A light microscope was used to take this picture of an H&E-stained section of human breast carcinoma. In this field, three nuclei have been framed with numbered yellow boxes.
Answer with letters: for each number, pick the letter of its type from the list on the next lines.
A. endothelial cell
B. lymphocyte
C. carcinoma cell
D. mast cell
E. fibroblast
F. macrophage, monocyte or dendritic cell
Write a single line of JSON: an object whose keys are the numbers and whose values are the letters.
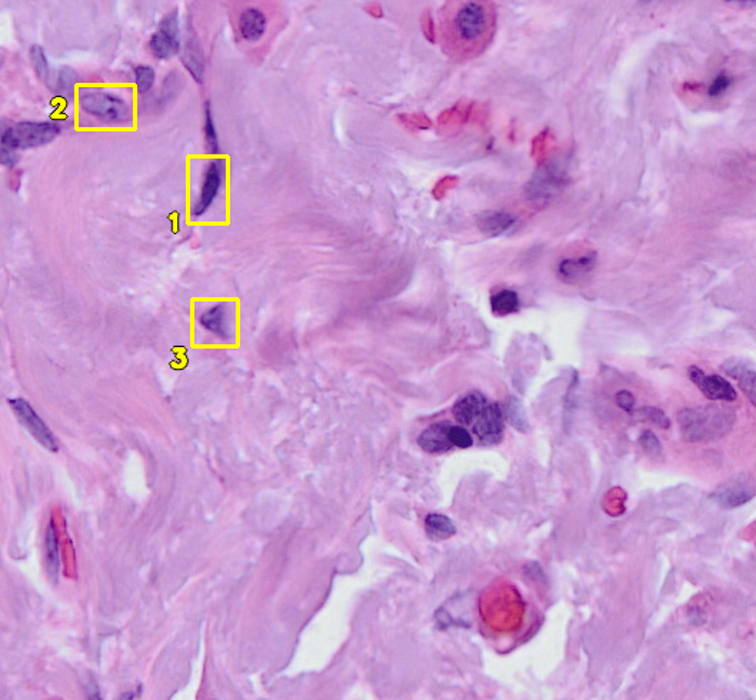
{"1": "E", "2": "A", "3": "E"}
